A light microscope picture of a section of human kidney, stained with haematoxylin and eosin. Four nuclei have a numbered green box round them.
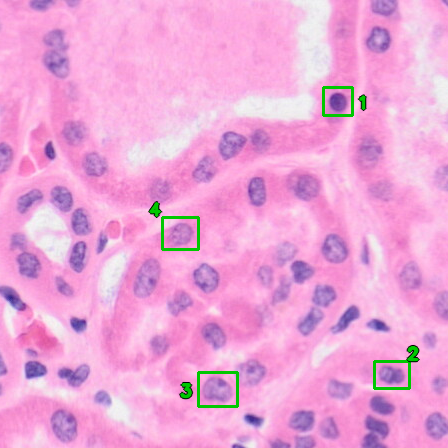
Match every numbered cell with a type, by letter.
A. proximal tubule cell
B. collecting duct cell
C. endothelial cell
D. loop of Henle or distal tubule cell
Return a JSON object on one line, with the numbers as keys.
{"1": "A", "2": "D", "3": "A", "4": "A"}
